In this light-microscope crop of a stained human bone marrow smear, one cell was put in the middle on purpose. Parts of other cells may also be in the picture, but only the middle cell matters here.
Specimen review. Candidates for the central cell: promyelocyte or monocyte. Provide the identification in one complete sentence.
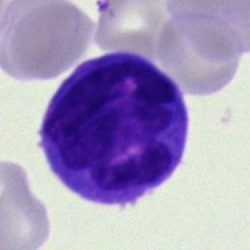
In the crop, the cell of interest at the centre is a monocyte.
